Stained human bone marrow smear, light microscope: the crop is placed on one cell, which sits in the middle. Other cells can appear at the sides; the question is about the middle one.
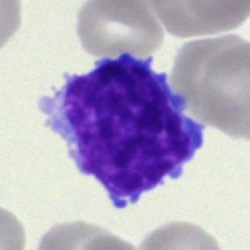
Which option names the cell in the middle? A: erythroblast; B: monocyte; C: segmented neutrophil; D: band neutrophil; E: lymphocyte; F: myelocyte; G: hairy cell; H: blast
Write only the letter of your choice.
H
